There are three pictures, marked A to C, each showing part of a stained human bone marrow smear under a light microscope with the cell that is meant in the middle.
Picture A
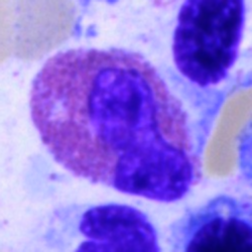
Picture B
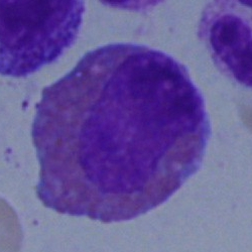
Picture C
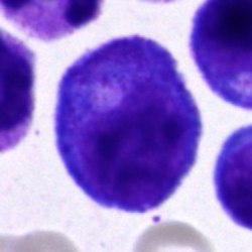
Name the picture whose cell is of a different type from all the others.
C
